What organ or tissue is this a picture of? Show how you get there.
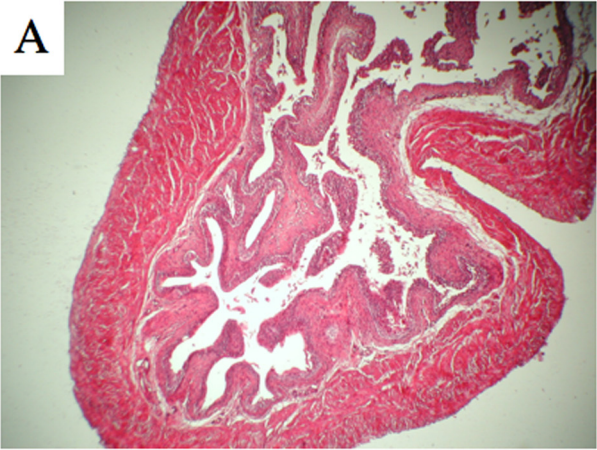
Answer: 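Urinary bladders. A hollow organ in cross-section with a thick pink muscular wall. A folded mucosa lines a central, branching lumen.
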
